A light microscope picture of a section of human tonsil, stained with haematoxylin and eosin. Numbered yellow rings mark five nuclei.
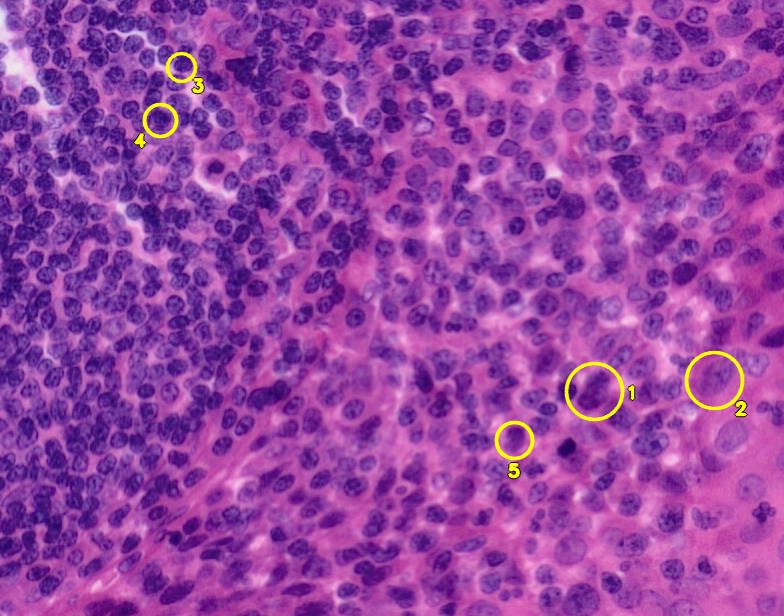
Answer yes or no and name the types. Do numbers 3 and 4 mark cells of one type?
Yes, cell 3 and likewise cell 4 are small lymphocytes.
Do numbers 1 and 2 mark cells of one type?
Yes, cells 1 and 2 are squamous epithelial cells, the two of them alike.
